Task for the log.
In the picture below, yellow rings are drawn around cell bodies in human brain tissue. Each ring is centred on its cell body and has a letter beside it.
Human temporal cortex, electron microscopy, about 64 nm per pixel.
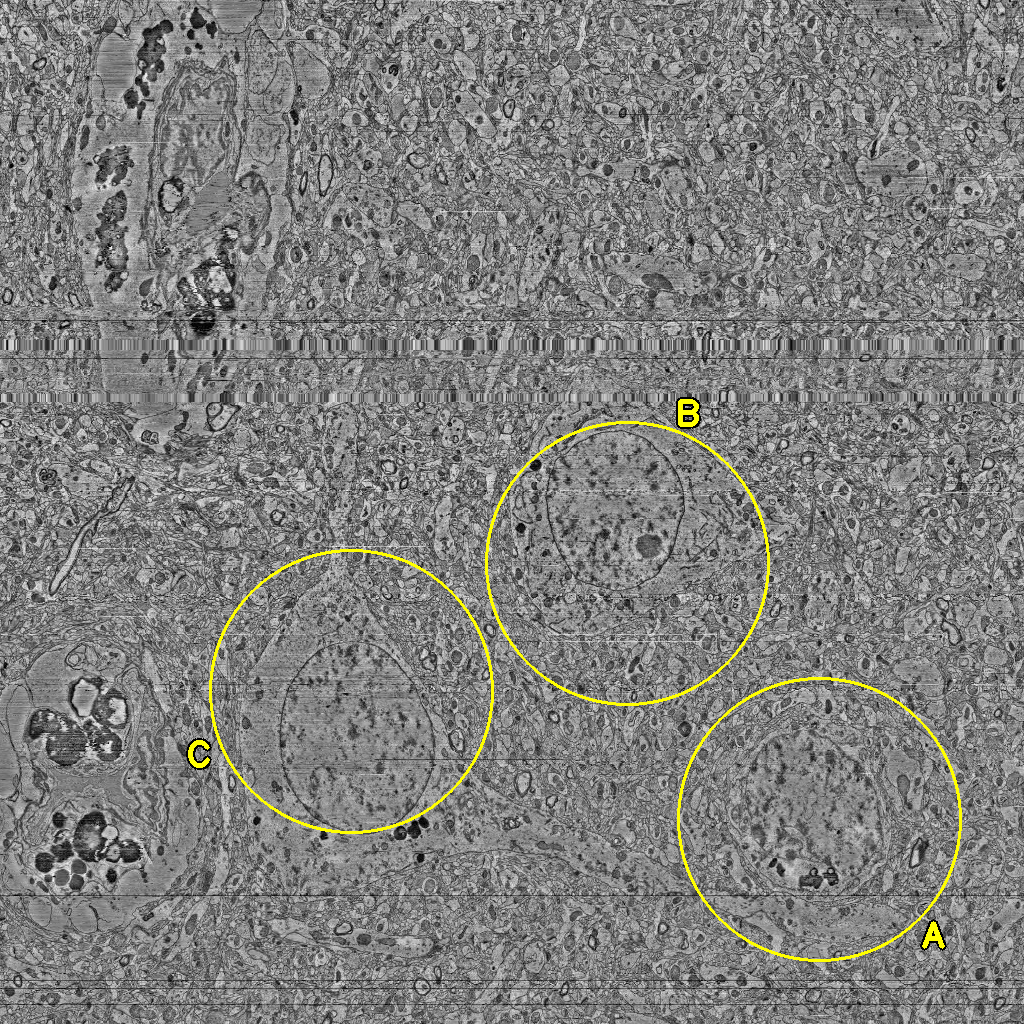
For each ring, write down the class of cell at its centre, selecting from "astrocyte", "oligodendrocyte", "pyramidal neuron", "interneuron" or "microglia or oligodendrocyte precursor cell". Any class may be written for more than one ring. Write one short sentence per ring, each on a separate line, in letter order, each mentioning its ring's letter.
The cell inside ring A, at its centre, is an interneuron.
The cell inside ring B, at its centre, is a pyramidal neuron.
The cell inside ring C, at its centre, is a pyramidal neuron.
